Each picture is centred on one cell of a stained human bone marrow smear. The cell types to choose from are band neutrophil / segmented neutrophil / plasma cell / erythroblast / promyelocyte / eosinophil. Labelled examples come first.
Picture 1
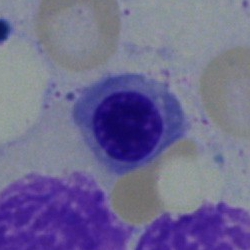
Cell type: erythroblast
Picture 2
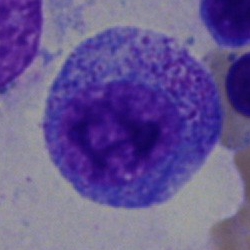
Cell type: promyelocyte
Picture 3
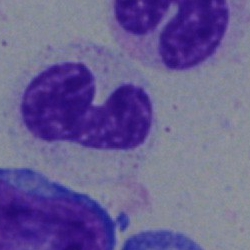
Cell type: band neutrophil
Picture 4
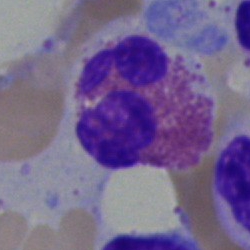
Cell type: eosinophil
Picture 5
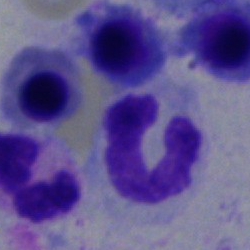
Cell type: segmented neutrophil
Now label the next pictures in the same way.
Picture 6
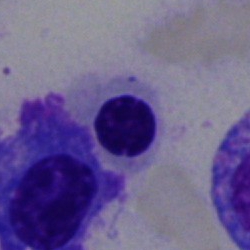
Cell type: erythroblast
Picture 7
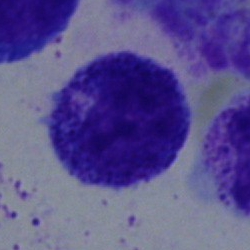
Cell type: promyelocyte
